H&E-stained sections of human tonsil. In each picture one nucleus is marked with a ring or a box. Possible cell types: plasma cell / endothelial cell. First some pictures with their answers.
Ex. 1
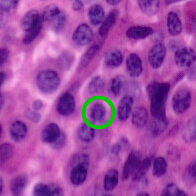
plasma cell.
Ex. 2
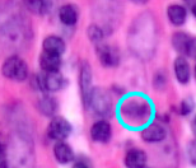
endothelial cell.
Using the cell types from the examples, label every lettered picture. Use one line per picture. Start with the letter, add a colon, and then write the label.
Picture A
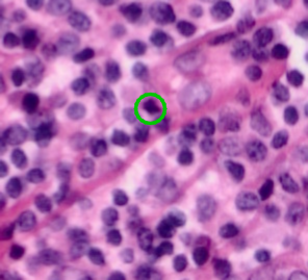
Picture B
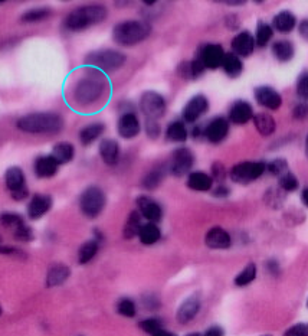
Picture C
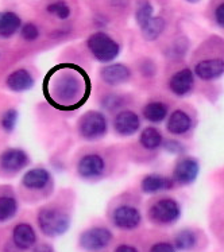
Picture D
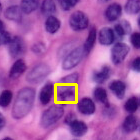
A: endothelial cell.
B: endothelial cell.
C: plasma cell.
D: endothelial cell.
